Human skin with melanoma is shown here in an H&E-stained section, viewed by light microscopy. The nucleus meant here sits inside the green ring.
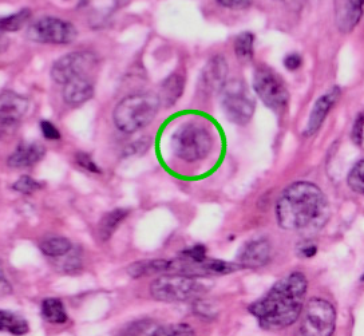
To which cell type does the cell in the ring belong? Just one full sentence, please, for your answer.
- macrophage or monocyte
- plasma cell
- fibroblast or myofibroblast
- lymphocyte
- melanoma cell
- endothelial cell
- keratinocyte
On this particular slide, the cell in the ring is a melanoma cell.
